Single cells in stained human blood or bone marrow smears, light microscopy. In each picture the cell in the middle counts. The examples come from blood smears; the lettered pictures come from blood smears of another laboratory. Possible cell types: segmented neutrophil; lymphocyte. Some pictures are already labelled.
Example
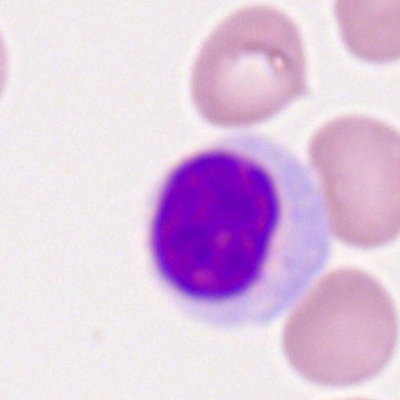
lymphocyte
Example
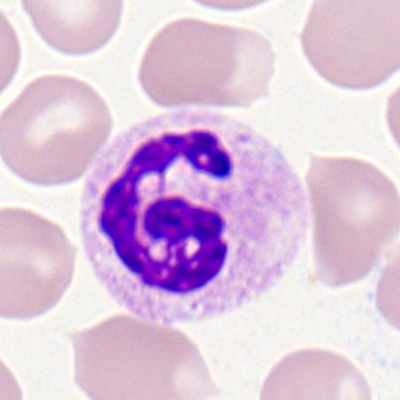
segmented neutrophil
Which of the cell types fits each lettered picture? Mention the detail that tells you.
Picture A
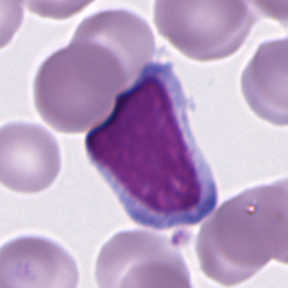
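Answer: lymphocyte. The cytoplasm is a narrow rim that is wider along the right and lower sides than along the upper left.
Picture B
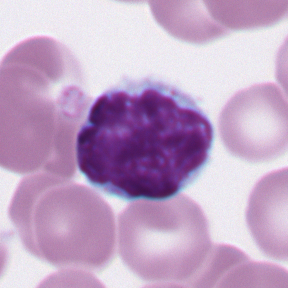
Answer: lymphocyte. The cytoplasm forms only a thin, pale bluish rim around the nucleus.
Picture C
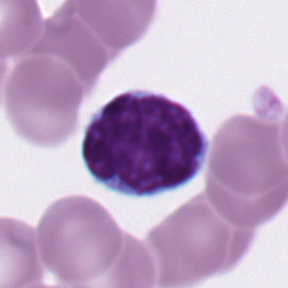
Answer: lymphocyte. The cytoplasm forms only a thin rim, widest along the lower edge of the cell.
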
